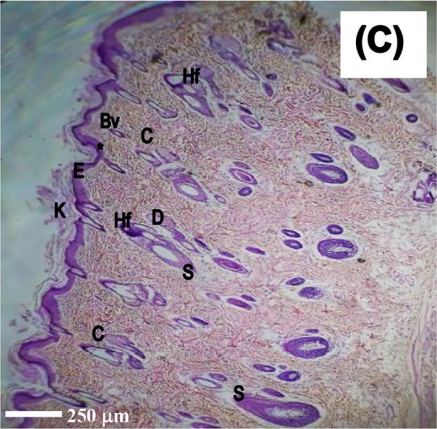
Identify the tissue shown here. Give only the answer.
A: Skin.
